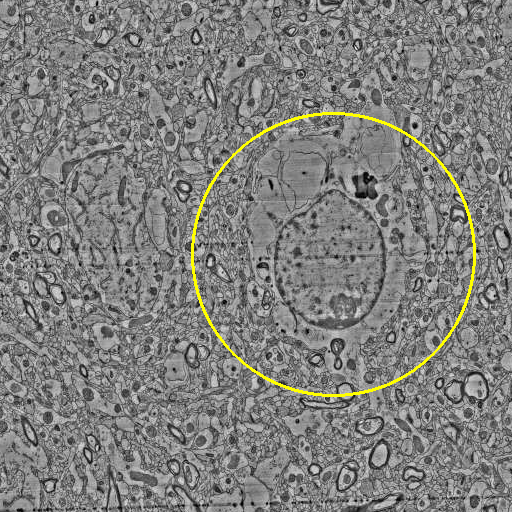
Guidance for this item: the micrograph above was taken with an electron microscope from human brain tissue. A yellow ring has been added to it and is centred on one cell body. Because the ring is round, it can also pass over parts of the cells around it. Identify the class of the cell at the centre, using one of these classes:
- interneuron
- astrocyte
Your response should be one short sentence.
The ring surrounds the body of an astrocyte.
